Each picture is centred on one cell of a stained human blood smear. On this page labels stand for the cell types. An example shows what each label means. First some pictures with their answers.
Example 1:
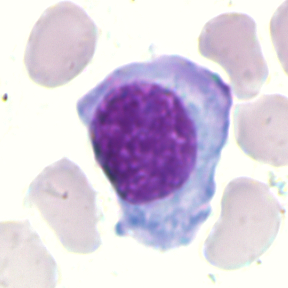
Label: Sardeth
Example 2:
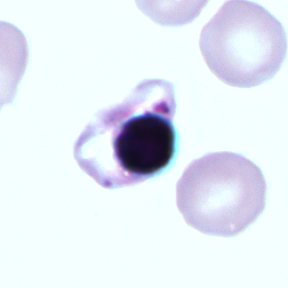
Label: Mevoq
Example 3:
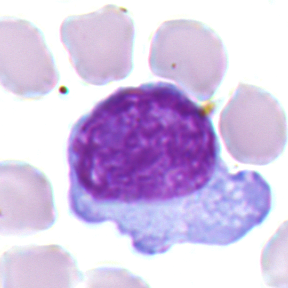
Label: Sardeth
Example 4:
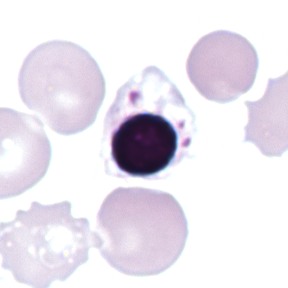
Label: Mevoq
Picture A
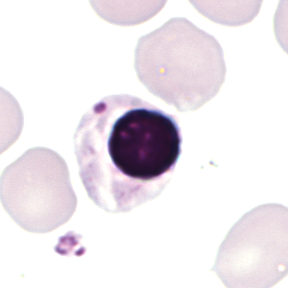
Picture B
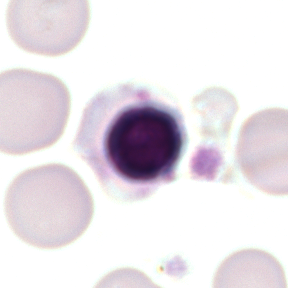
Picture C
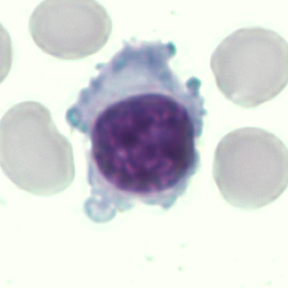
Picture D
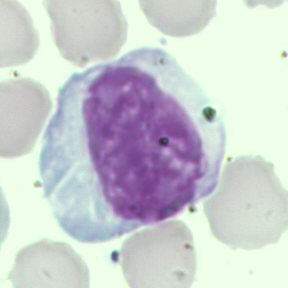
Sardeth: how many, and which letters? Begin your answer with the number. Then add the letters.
Count: 2 (C, D)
